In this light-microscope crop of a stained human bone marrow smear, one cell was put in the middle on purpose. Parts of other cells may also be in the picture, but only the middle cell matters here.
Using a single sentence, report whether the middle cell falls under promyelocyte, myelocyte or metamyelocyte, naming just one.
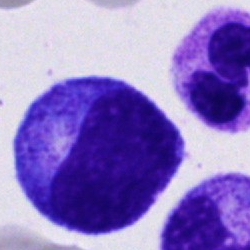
Positioned in the middle of the crop is a promyelocyte.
